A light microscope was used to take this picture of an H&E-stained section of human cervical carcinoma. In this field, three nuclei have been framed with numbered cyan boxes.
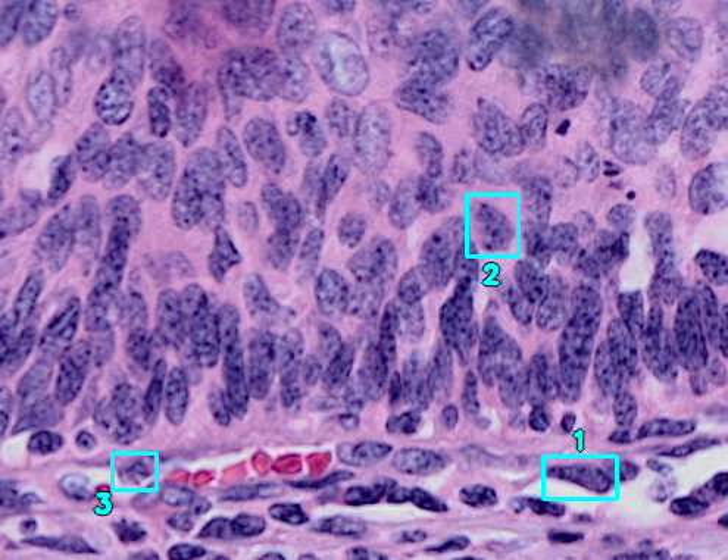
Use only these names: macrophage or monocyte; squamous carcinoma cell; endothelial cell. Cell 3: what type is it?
endothelial cell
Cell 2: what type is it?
squamous carcinoma cell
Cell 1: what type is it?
endothelial cell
